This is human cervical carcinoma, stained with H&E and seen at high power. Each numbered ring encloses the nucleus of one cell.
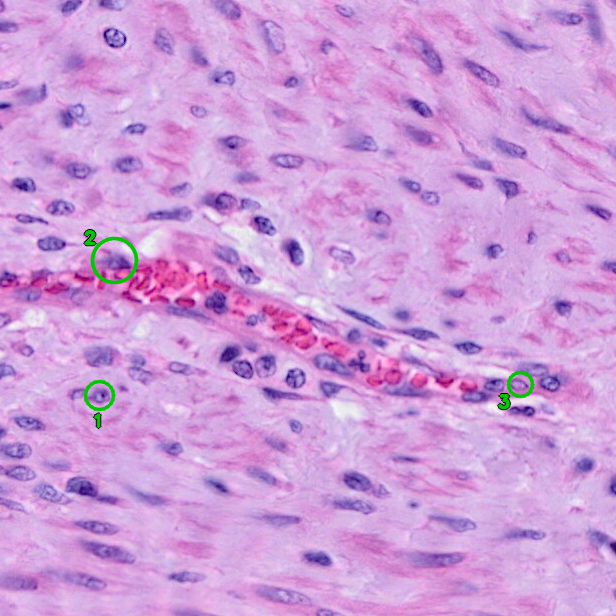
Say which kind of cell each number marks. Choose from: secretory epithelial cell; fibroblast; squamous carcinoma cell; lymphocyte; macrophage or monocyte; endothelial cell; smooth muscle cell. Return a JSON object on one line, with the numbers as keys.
{"1": "smooth muscle cell", "2": "endothelial cell", "3": "endothelial cell"}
